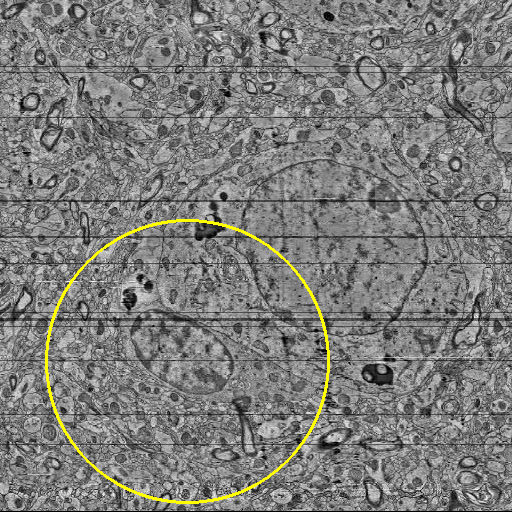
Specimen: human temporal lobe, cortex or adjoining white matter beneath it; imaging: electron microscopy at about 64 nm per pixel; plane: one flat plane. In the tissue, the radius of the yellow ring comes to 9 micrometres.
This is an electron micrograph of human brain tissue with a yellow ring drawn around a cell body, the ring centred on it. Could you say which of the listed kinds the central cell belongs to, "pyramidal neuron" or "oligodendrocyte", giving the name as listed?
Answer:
oligodendrocyte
